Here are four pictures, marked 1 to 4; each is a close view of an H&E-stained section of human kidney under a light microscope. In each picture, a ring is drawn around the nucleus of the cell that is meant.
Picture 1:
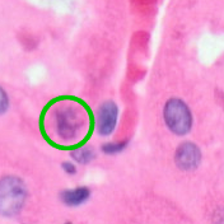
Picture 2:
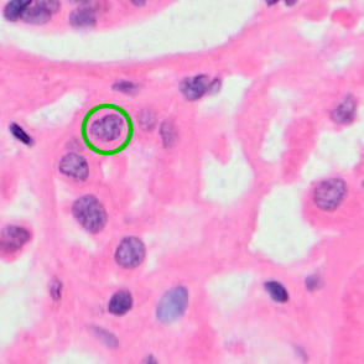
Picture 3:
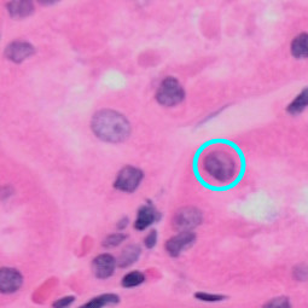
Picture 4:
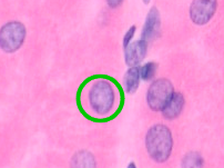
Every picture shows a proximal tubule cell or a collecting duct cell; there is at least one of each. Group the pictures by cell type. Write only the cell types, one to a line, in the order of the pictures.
proximal tubule cell
collecting duct cell
proximal tubule cell
proximal tubule cell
